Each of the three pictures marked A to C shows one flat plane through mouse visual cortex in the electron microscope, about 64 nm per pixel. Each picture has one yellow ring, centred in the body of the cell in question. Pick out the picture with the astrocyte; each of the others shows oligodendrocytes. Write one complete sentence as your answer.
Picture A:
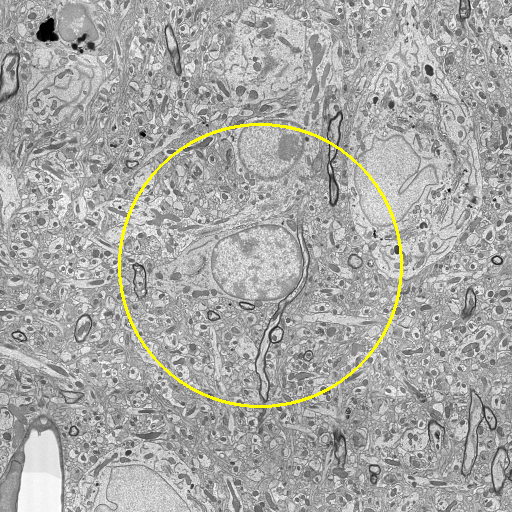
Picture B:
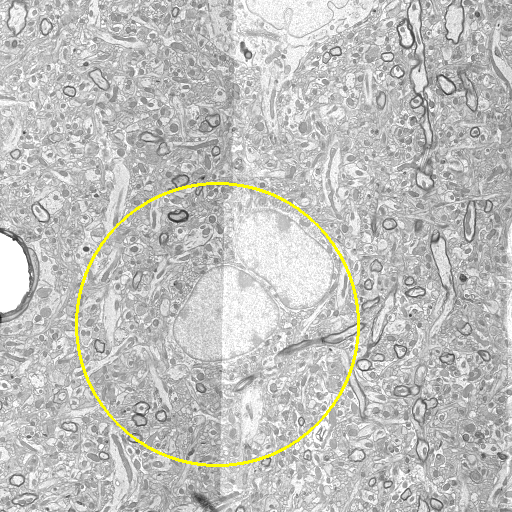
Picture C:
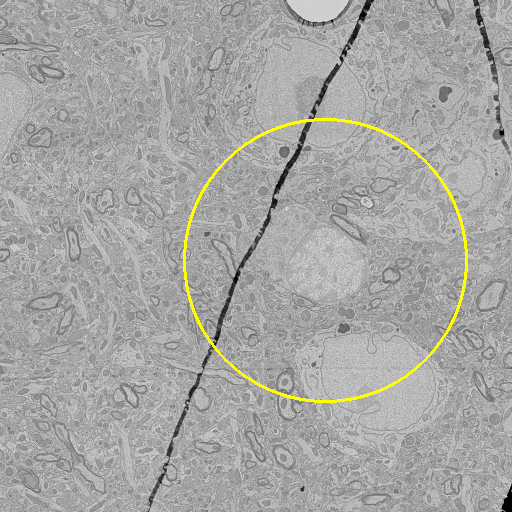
The astrocyte is the one in picture B.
